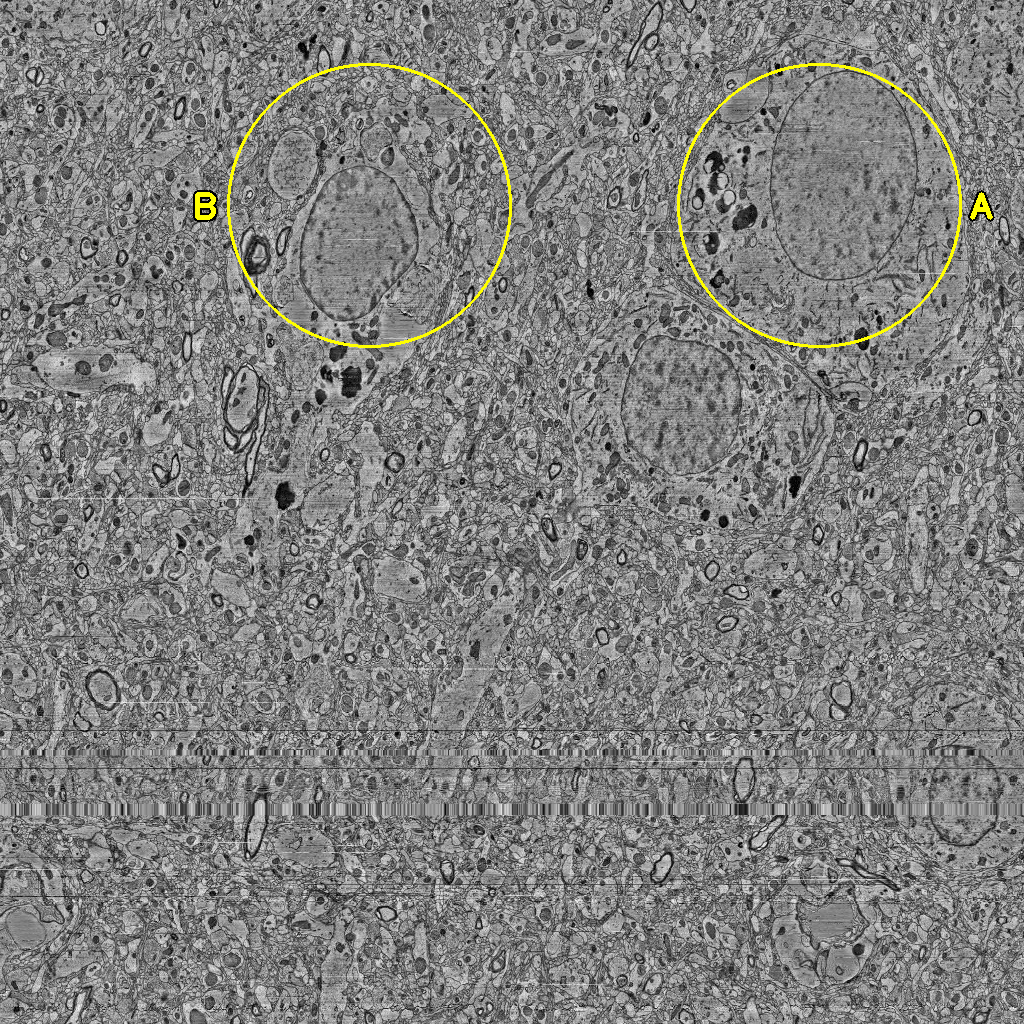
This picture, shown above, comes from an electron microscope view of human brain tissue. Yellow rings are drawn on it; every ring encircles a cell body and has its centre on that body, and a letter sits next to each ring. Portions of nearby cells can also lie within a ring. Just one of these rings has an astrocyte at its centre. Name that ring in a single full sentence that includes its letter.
In the picture, ring B has the cell asked for at its centre.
